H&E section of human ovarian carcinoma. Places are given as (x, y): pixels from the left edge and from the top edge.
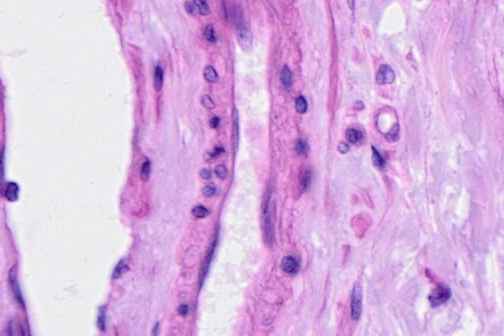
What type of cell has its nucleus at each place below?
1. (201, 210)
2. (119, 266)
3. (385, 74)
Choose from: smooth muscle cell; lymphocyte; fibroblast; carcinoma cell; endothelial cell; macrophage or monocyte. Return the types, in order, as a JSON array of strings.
["smooth muscle cell", "endothelial cell", "macrophage or monocyte"]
